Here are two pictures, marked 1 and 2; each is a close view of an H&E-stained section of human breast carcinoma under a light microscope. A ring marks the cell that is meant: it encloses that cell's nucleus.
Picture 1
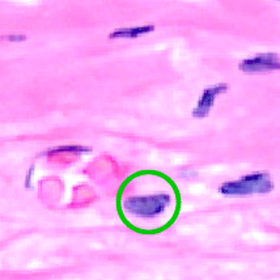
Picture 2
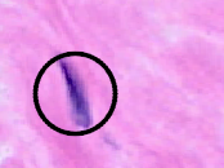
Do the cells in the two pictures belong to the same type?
no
